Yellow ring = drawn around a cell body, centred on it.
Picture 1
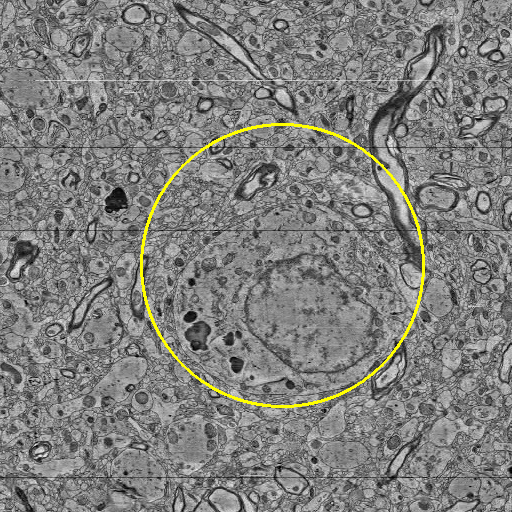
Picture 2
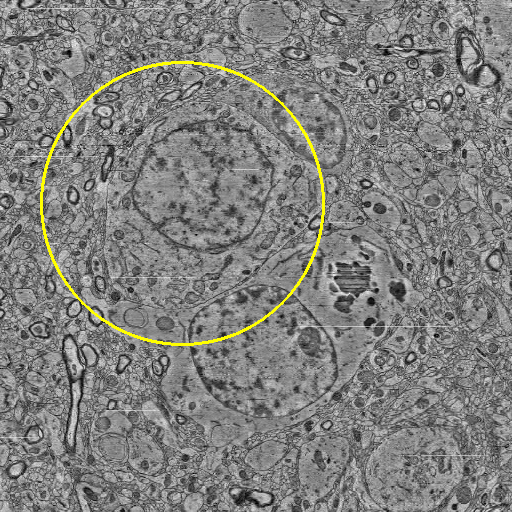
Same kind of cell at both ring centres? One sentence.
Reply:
Yes, they are the same kind of cell.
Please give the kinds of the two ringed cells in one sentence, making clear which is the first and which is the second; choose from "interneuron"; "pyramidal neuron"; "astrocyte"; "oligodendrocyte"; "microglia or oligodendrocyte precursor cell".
Both pictures show a pyramidal neuron at the centre of the ring.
